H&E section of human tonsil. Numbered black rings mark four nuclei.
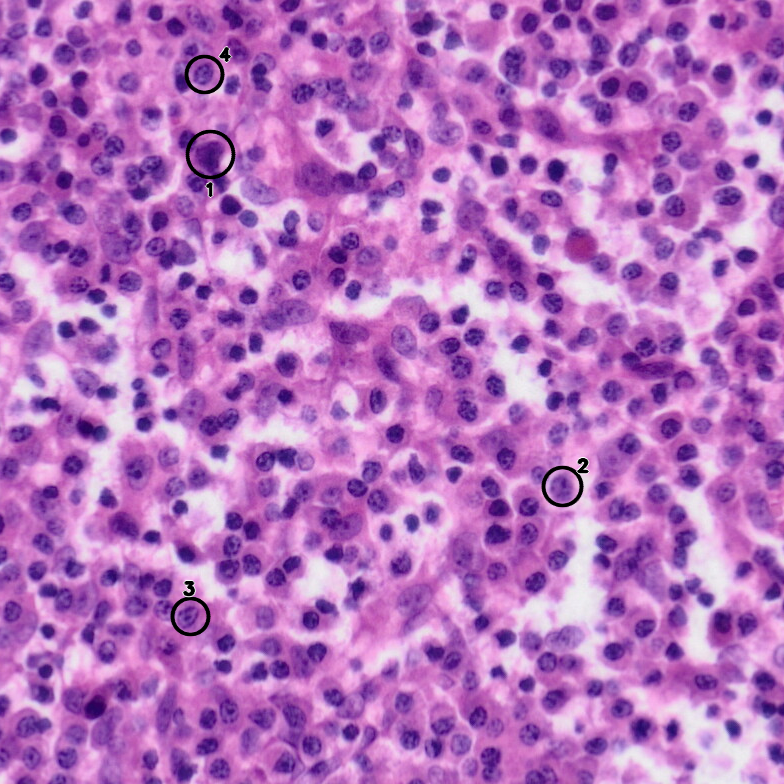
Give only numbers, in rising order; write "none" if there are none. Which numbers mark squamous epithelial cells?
1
